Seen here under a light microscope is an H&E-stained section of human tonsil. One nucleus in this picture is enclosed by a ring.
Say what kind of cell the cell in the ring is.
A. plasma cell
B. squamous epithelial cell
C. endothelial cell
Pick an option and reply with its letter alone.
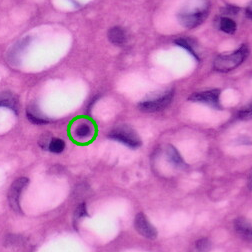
B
